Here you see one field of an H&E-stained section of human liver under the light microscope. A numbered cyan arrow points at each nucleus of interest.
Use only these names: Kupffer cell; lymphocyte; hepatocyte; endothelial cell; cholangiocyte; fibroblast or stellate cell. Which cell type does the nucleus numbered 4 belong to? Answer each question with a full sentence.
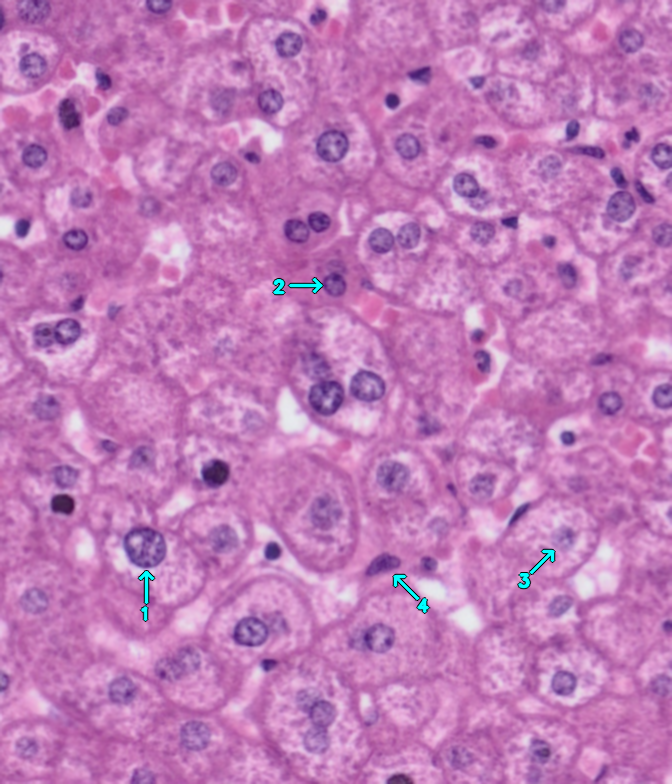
The nucleus labeled 4 belongs to a Kupffer cell.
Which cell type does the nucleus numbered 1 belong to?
The label 1 in this section denotes a hepatocyte.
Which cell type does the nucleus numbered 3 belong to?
The numbered cell 3 is identified here as a hepatocyte.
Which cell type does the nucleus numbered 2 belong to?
Looking at the numbered marks, cell 2 is a hepatocyte.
